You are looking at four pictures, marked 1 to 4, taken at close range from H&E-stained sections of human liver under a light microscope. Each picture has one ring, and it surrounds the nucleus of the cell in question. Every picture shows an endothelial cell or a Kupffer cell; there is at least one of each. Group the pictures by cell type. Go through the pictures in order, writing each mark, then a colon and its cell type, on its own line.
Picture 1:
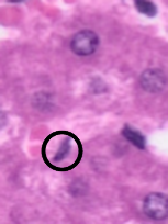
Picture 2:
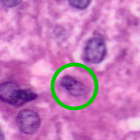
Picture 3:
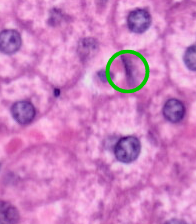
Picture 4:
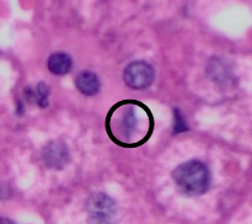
1: endothelial cell
2: Kupffer cell
3: endothelial cell
4: endothelial cell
